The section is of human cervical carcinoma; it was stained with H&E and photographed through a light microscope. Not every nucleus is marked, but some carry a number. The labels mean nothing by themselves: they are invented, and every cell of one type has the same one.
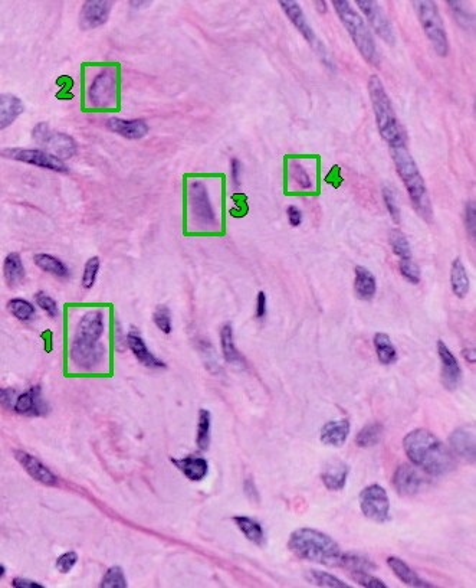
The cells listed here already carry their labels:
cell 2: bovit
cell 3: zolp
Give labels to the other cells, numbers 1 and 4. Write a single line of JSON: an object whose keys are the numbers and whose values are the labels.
{"1": "zolp", "4": "bovit"}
